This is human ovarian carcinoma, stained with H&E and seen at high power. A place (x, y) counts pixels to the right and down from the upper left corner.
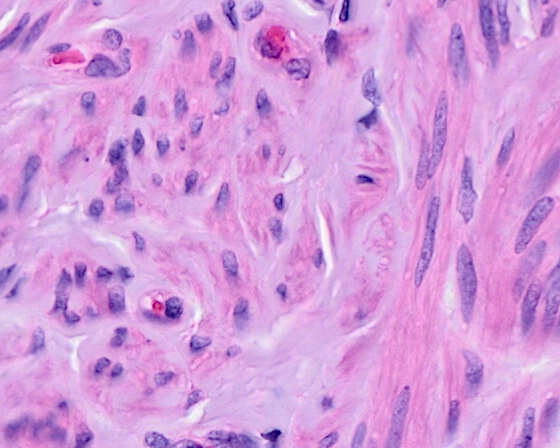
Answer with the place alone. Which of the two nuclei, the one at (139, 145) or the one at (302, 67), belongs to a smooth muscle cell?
(139, 145)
